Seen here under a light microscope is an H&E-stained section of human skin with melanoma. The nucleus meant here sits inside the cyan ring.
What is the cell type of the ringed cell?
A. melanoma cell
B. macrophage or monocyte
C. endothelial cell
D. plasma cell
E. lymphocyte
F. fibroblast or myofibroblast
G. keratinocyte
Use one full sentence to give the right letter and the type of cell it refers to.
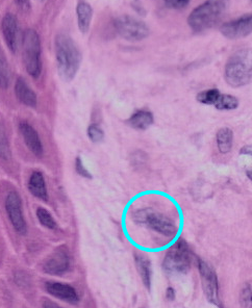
Right answer, option F: the ringed cell is a fibroblast or myofibroblast.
